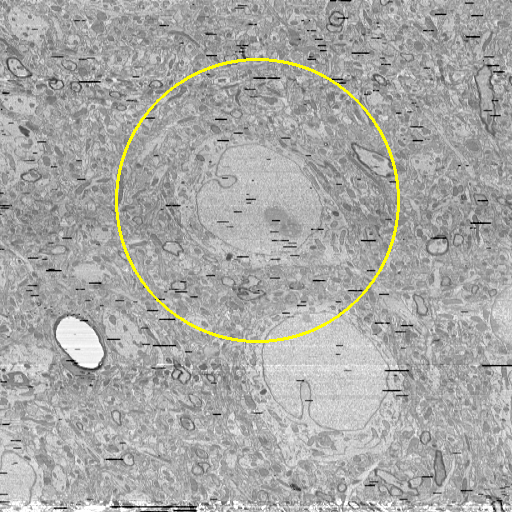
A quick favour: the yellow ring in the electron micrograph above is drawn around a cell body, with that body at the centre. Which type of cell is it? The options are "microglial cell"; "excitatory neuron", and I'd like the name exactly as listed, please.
excitatory neuron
